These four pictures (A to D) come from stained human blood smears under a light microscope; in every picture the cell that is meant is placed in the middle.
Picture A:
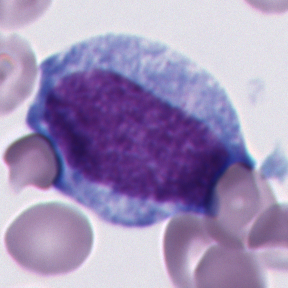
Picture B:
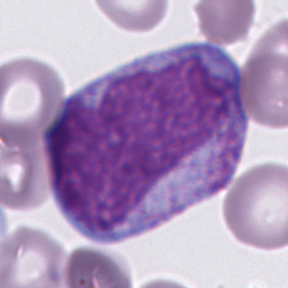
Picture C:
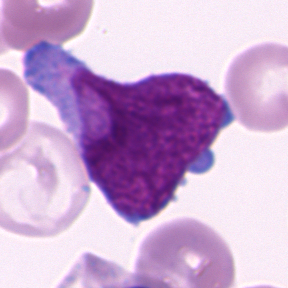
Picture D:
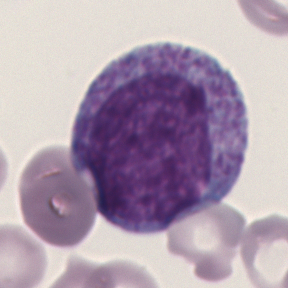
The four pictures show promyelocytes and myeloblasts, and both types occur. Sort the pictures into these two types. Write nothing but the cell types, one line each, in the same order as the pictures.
promyelocyte
promyelocyte
myeloblast
promyelocyte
